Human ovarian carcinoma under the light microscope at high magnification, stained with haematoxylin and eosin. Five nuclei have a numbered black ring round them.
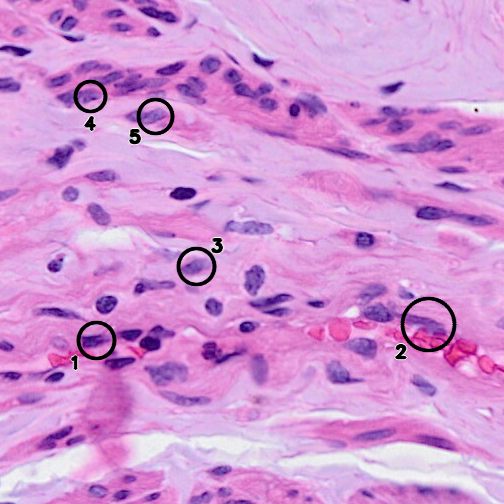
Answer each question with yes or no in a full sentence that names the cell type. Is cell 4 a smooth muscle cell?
Yes, the cell that has number 4 is a smooth muscle cell.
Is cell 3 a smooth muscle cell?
Yes, the cell marked by the number 3 is a smooth muscle cell.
